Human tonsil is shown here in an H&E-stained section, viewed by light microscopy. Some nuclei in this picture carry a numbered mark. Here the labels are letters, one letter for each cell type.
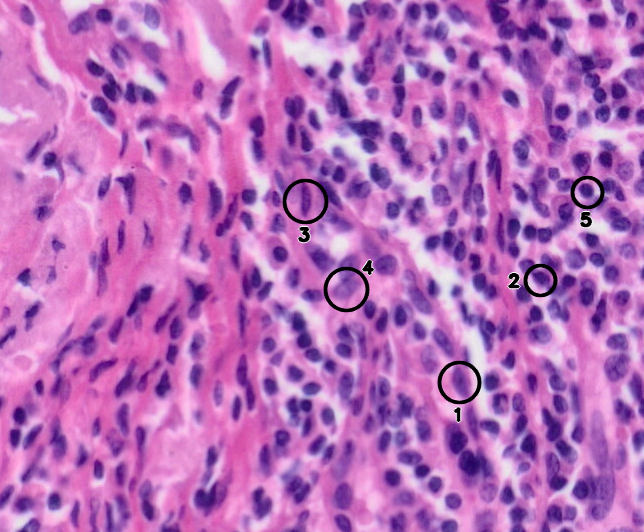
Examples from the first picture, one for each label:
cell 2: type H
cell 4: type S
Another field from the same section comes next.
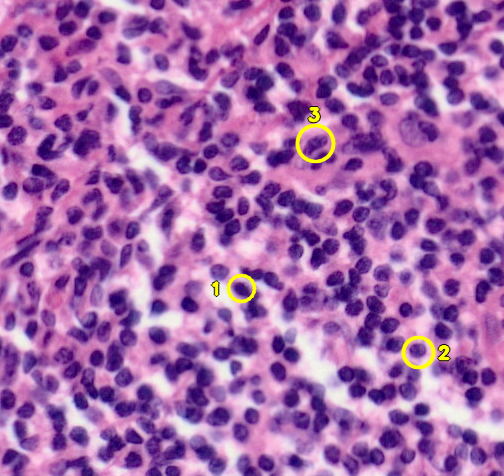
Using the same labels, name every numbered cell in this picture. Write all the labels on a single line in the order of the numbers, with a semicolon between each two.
type H; type H; type S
